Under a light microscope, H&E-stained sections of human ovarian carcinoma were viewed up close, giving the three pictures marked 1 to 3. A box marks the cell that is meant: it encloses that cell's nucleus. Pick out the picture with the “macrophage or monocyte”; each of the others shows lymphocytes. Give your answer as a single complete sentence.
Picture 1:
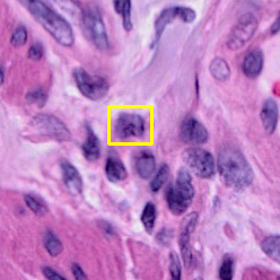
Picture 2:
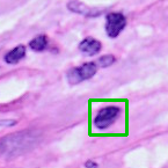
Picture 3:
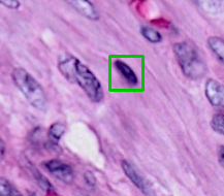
Picture 1 is the one that shows the “macrophage or monocyte”.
